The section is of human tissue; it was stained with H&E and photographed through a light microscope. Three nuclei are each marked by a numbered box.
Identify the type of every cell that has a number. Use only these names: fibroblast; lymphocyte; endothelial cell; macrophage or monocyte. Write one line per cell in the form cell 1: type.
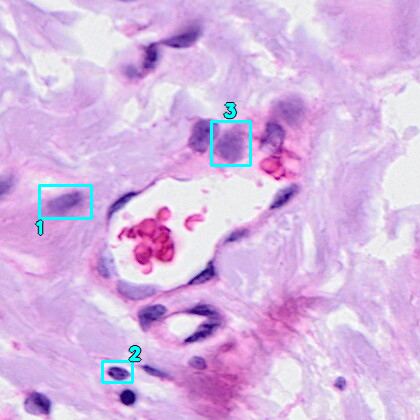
cell 1: endothelial cell
cell 2: lymphocyte
cell 3: endothelial cell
